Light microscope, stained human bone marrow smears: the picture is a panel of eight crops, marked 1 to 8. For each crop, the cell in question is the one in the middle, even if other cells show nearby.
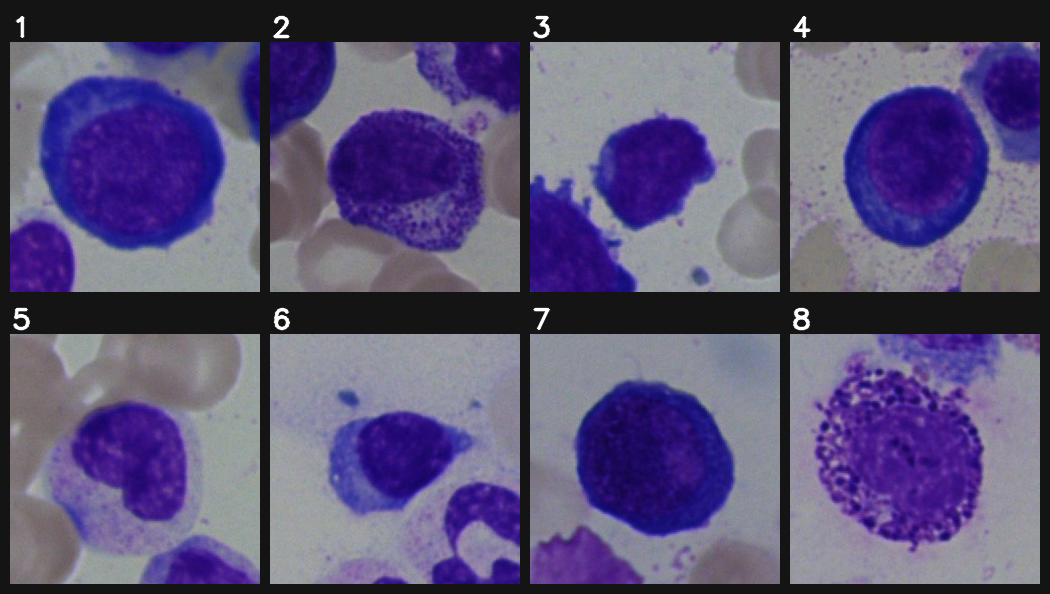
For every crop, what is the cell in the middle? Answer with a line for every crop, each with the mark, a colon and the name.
1: proerythroblast
2: myelocyte
3: lymphocyte
4: proerythroblast
5: metamyelocyte
6: plasma cell
7: proerythroblast
8: basophil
